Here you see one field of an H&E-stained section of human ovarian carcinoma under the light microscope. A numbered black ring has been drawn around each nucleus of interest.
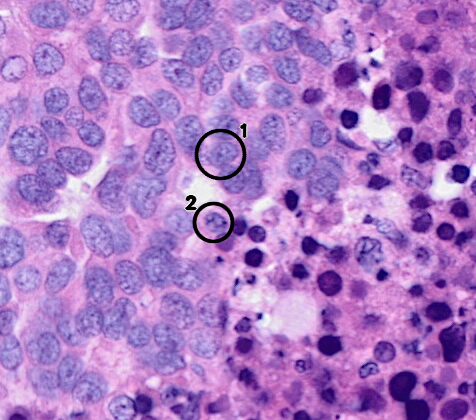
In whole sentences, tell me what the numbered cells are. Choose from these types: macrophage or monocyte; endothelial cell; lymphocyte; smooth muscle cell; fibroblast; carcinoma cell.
Cell 1 is a carcinoma cell. Cell 2 is a macrophage or monocyte.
